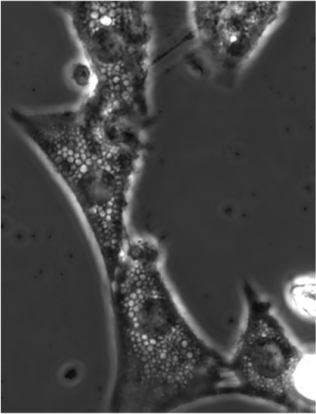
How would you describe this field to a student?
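These are spread cultured fibroblast-like cells seen under phase contrast, whose cytoplasm is crowded with numerous round, clear vacuoles of varying size. The vacuoles are packed closely together and surround oval nuclei, which appear as smooth grey areas within the cell bodies. The cells are flattened and joined into a branching network, with broad cytoplasmic extensions reaching across the dark background.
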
